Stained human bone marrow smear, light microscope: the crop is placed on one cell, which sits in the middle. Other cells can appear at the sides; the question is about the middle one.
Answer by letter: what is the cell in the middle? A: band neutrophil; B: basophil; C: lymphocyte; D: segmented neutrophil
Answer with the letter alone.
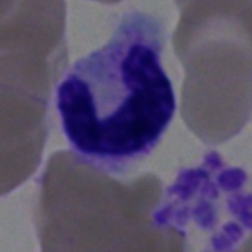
D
